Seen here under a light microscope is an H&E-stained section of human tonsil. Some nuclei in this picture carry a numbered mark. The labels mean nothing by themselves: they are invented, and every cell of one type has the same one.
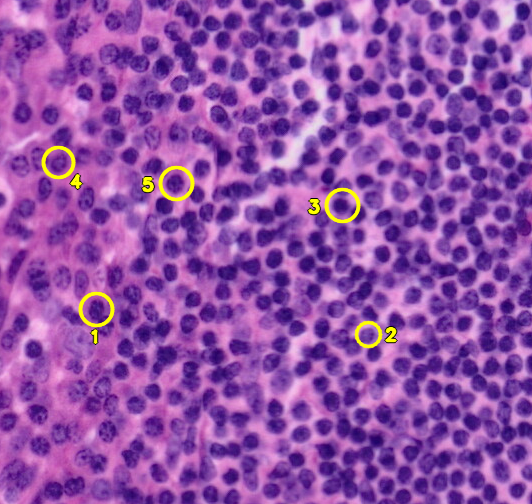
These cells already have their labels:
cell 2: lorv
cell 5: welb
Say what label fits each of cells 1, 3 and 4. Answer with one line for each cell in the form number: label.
1: welb
3: lorv
4: welb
